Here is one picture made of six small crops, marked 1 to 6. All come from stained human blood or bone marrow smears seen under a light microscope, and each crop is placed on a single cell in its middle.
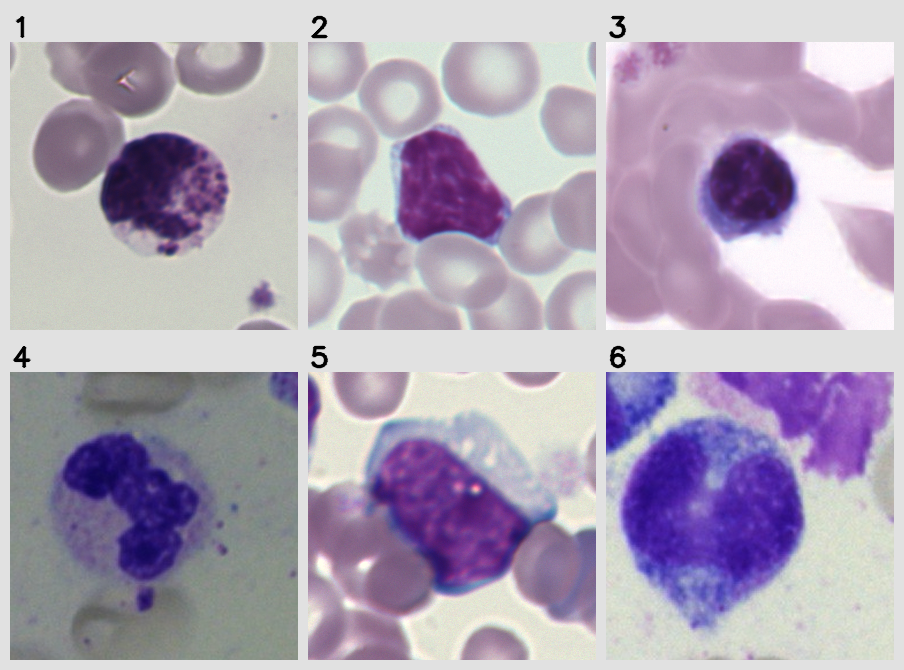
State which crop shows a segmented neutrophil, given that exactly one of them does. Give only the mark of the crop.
4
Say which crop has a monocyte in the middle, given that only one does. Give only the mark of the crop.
6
